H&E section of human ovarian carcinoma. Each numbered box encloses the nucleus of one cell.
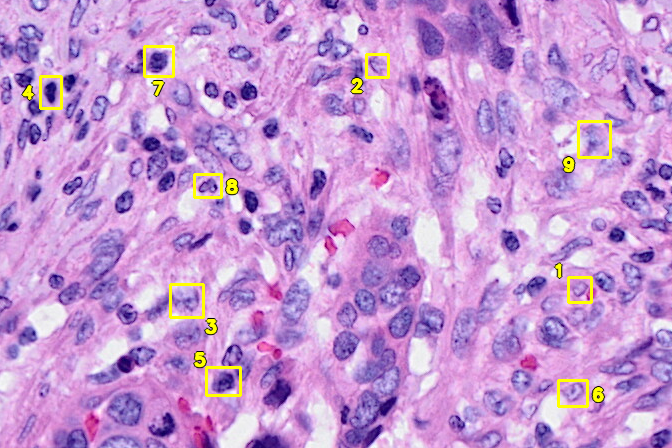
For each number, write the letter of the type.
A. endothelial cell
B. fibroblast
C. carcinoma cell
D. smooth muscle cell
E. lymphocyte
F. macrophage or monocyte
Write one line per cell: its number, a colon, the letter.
1: A
2: B
3: B
4: E
5: E
6: B
7: E
8: E
9: B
